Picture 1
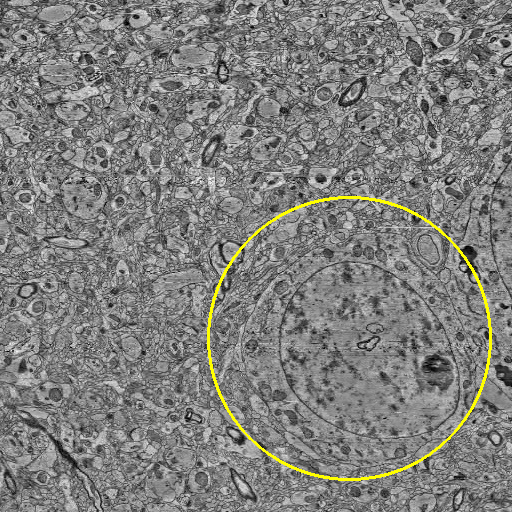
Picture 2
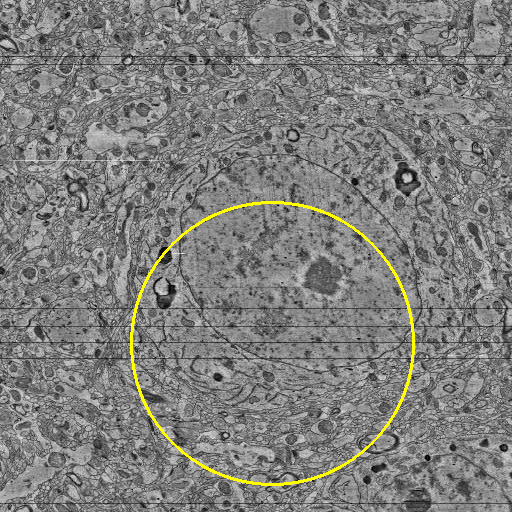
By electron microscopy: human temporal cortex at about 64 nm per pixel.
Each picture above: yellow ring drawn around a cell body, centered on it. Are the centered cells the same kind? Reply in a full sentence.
Yes, the two cells are the same kind.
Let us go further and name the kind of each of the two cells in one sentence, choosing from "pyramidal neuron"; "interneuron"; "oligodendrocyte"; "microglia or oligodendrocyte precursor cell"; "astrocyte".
Each of the ringed cells, first and second, is a pyramidal neuron.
